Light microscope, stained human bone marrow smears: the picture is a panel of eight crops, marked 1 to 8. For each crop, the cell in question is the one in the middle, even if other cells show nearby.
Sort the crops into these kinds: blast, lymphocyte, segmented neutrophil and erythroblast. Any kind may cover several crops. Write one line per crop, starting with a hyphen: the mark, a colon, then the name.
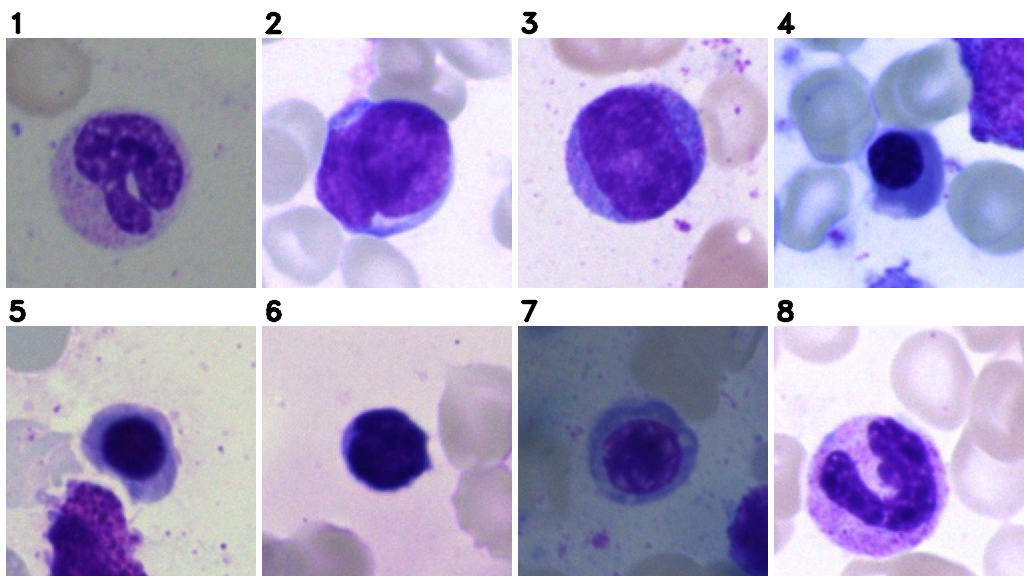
- 1: segmented neutrophil
- 2: blast
- 3: blast
- 4: erythroblast
- 5: erythroblast
- 6: lymphocyte
- 7: erythroblast
- 8: segmented neutrophil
